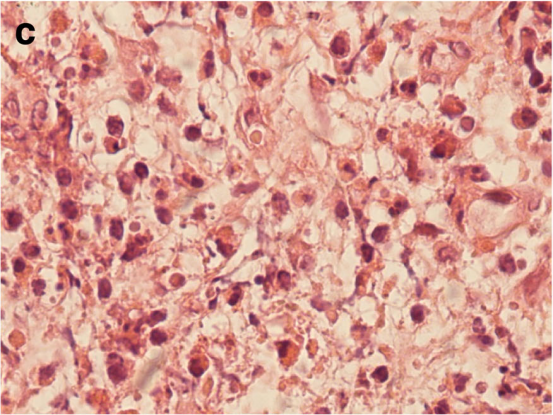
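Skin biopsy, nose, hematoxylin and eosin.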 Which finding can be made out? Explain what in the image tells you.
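The cells lie in a loose, pale stroma.
Answer: eosinophilic infiltrate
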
